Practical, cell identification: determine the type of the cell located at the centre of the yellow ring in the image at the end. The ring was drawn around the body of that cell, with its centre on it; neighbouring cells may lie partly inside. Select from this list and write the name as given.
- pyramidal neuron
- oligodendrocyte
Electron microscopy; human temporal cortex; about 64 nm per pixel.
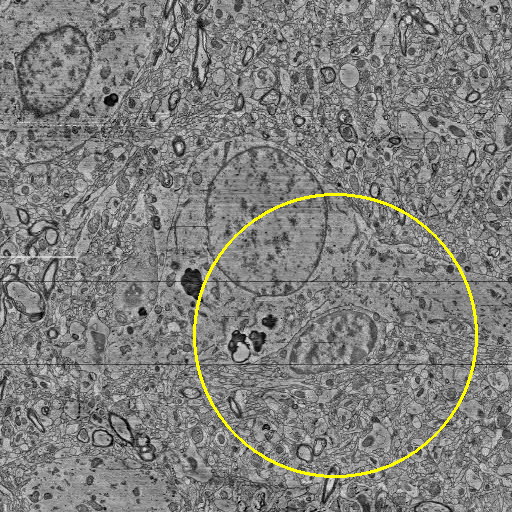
oligodendrocyte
